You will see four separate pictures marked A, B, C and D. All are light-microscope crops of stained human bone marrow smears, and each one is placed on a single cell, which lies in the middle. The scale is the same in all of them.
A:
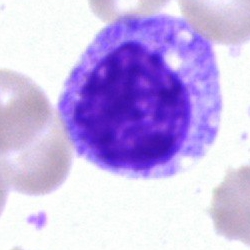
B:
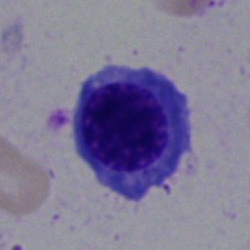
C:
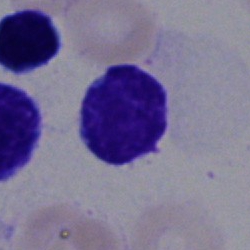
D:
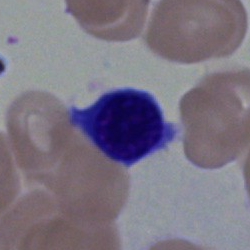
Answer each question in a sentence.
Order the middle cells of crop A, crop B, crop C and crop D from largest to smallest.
From the largest down, the order is A, B, C, D.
